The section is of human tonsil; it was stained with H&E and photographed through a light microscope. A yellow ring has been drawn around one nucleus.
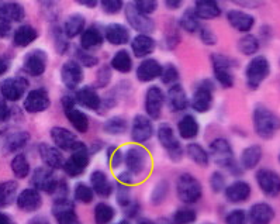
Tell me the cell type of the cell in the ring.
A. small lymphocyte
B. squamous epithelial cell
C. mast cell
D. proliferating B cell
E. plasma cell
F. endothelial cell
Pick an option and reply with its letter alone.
A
